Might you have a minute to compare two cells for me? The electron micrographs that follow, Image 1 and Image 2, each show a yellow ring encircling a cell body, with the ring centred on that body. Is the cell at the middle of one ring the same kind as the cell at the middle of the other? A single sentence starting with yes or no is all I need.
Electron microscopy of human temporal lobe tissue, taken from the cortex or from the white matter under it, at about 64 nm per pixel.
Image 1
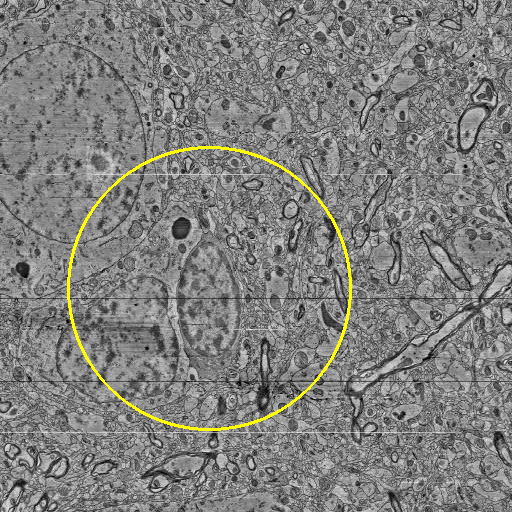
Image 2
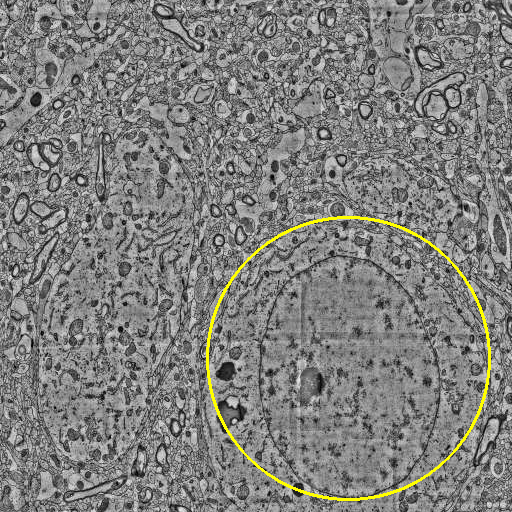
No, the cells in the middle of the two rings are of two separate kinds.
